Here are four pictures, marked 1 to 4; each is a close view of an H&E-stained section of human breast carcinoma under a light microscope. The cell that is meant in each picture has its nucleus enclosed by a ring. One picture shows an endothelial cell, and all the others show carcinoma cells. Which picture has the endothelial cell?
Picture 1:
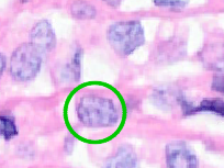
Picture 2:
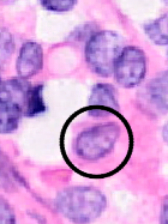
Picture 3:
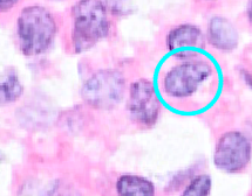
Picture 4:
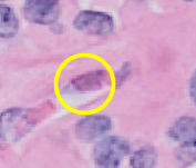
4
